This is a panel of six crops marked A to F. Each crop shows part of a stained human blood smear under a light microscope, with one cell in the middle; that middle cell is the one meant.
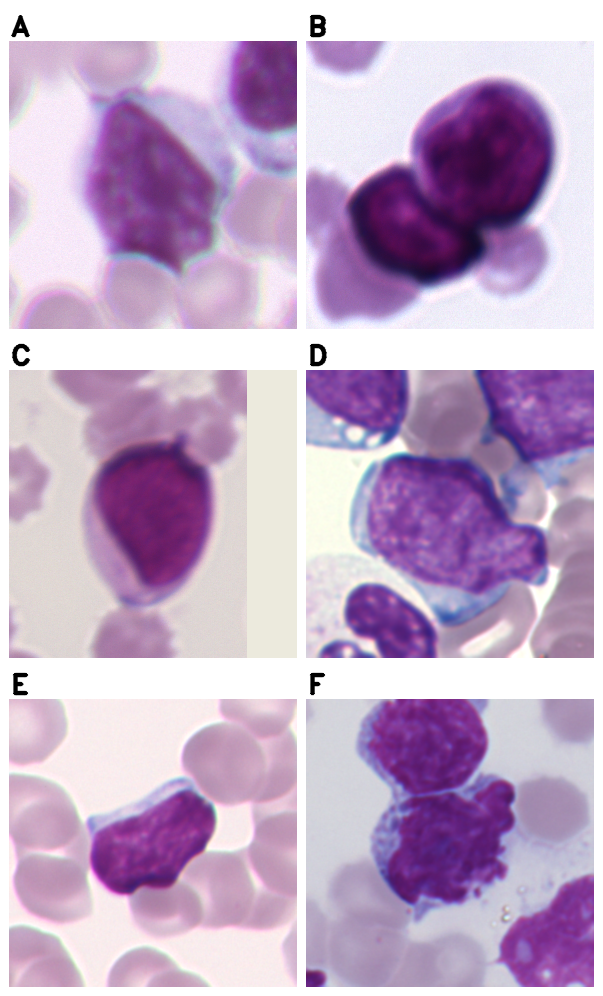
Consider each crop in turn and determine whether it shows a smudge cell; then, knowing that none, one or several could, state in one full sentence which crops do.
It is not the case that any crop shows a smudge cell.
